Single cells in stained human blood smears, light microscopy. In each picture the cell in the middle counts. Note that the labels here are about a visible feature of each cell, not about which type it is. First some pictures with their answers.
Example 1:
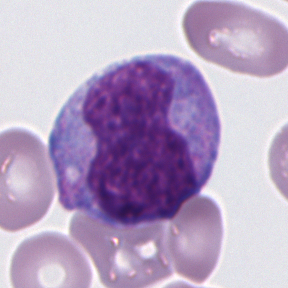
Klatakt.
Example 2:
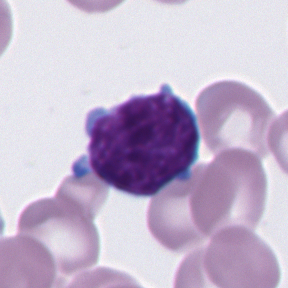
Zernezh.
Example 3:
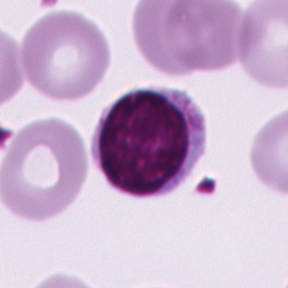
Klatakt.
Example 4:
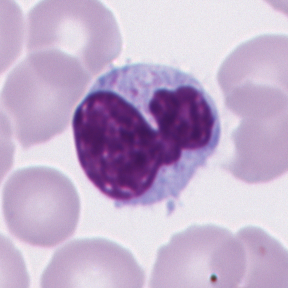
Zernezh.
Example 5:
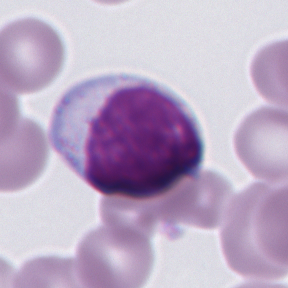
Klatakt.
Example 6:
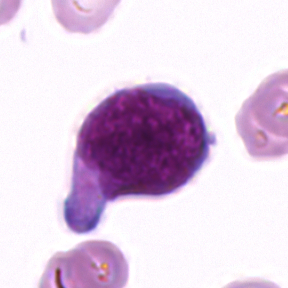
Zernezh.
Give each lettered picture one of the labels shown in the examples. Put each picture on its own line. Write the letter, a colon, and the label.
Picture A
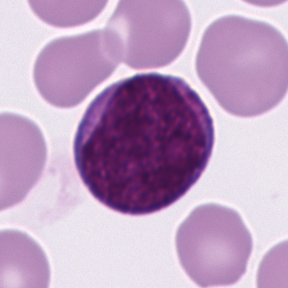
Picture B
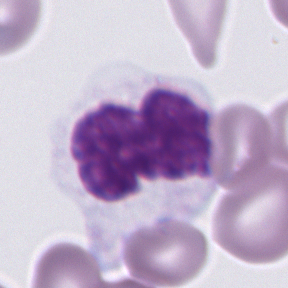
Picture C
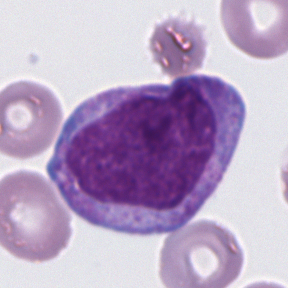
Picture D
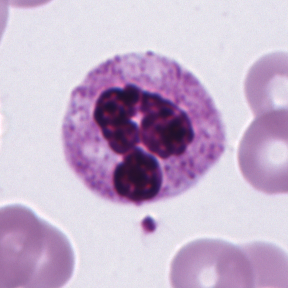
A: Klatakt.
B: Zernezh.
C: Klatakt.
D: Klatakt.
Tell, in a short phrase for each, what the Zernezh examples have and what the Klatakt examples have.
Zernezh: ragged outline or projections; Klatakt: smooth outline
